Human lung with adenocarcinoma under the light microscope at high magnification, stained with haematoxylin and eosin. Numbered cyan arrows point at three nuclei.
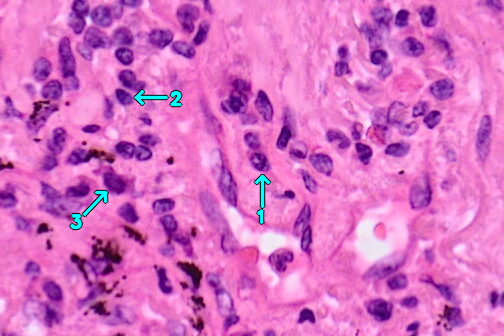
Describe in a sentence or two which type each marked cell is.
Cell 1 is a plasma cell, cell 2 is a lymphocyte and cell 3 is a plasma cell.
